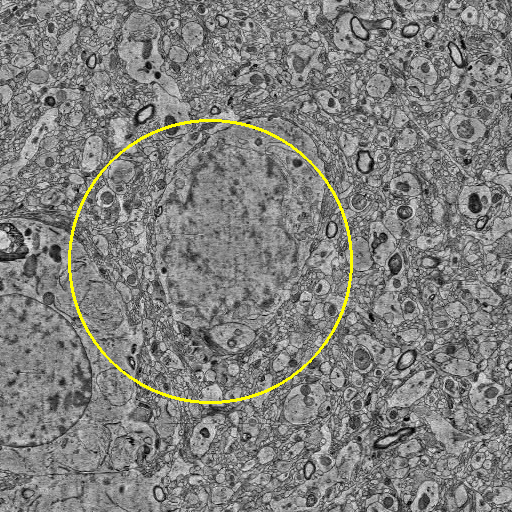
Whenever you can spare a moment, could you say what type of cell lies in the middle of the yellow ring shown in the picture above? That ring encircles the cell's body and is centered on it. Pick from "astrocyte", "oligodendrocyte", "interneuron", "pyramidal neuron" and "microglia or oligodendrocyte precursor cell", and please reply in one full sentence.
The cell whose body sits at the middle of the yellow ring is an interneuron.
